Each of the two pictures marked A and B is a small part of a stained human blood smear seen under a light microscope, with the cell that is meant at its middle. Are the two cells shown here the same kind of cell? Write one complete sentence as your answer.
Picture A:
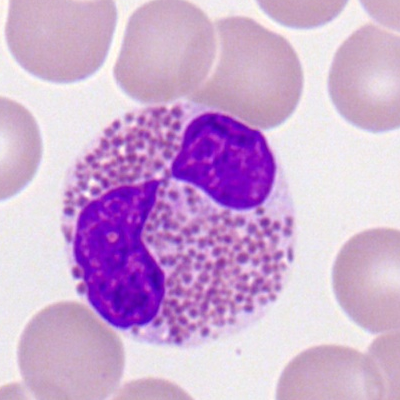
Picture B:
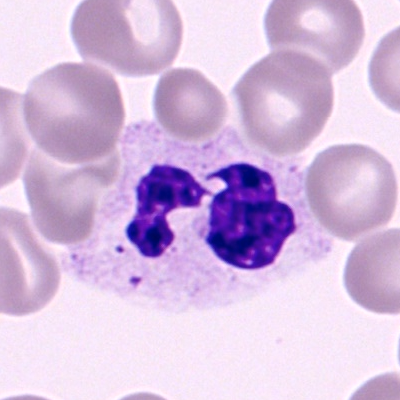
No, they differ: the cell is an eosinophil in picture A and a segmented neutrophil in picture B.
